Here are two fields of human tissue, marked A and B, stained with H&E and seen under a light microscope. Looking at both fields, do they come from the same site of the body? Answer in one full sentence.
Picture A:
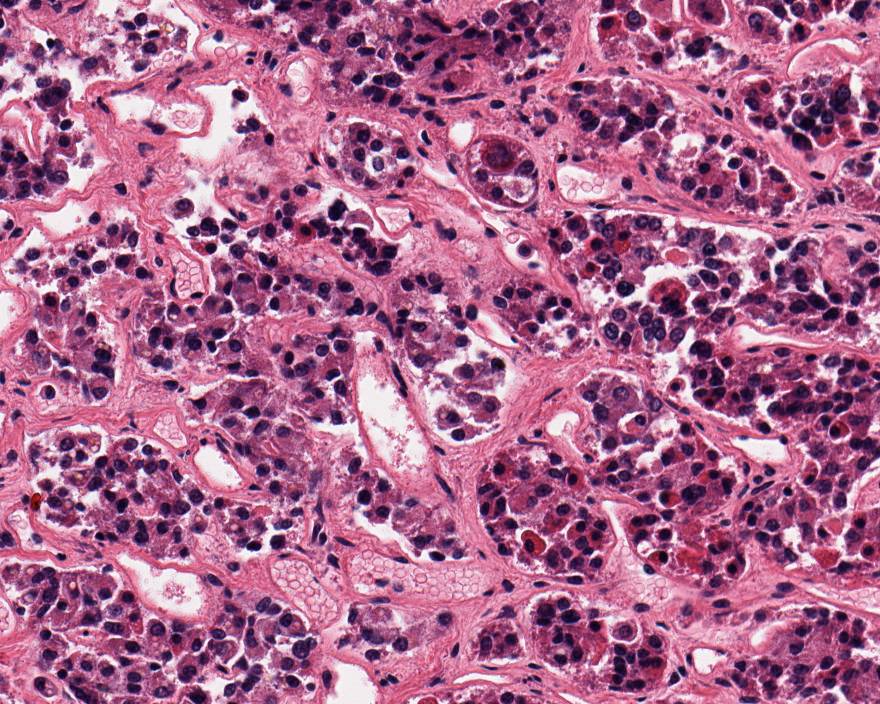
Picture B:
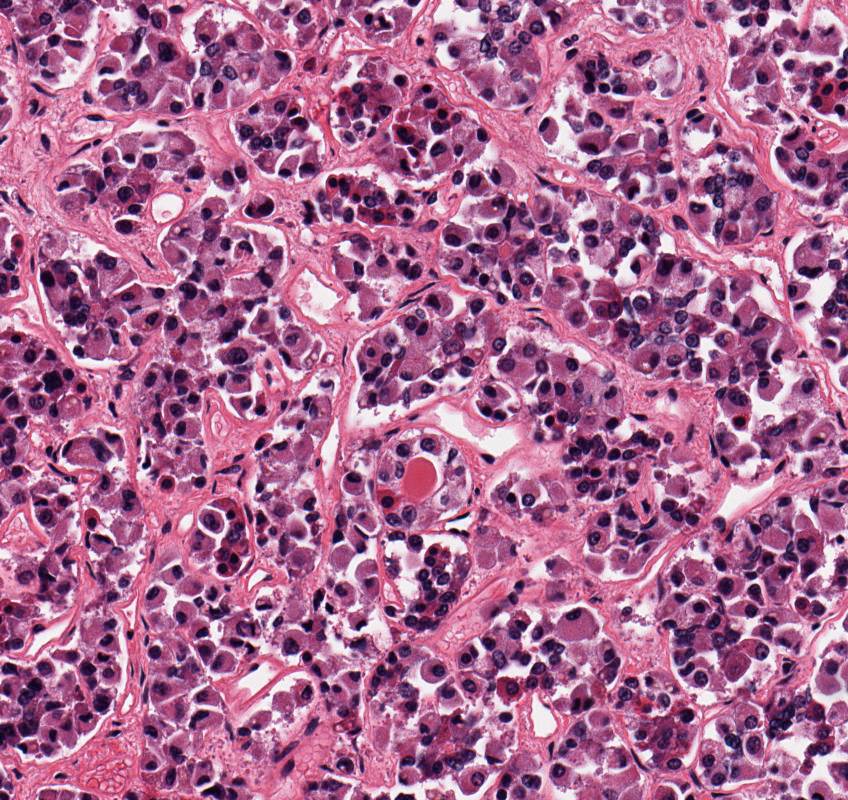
Yes, both come from the pituitary.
